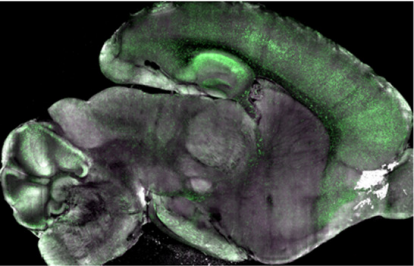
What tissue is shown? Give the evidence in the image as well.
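A whole organ section with a foliated cerebellum at one end. A curved, layered cortex along the top. A bright curved band resembling the hippocampus beneath the cortex. The answer: brain.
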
